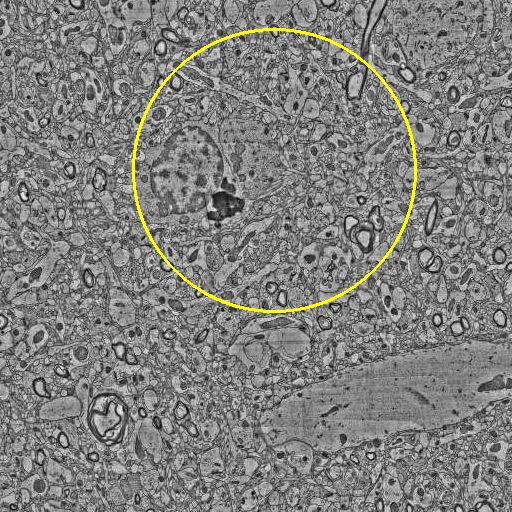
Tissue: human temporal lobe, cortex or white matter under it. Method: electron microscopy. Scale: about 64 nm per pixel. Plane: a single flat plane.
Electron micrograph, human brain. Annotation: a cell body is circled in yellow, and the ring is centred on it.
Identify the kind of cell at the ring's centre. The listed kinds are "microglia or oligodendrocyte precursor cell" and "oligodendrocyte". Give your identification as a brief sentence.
The circled cell body is that of an oligodendrocyte.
